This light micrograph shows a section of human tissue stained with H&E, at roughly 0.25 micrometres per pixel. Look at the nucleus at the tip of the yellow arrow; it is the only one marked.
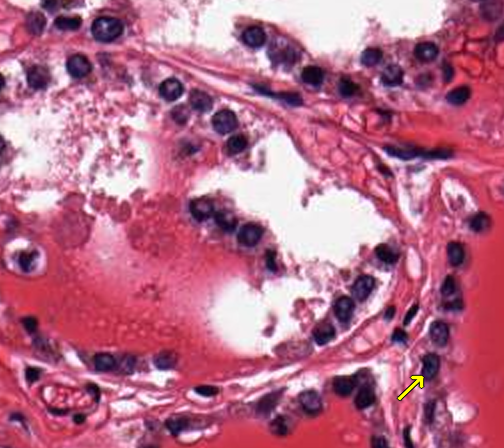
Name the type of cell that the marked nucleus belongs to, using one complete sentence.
Here the marked nucleus belongs to a thyroid follicular cell.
